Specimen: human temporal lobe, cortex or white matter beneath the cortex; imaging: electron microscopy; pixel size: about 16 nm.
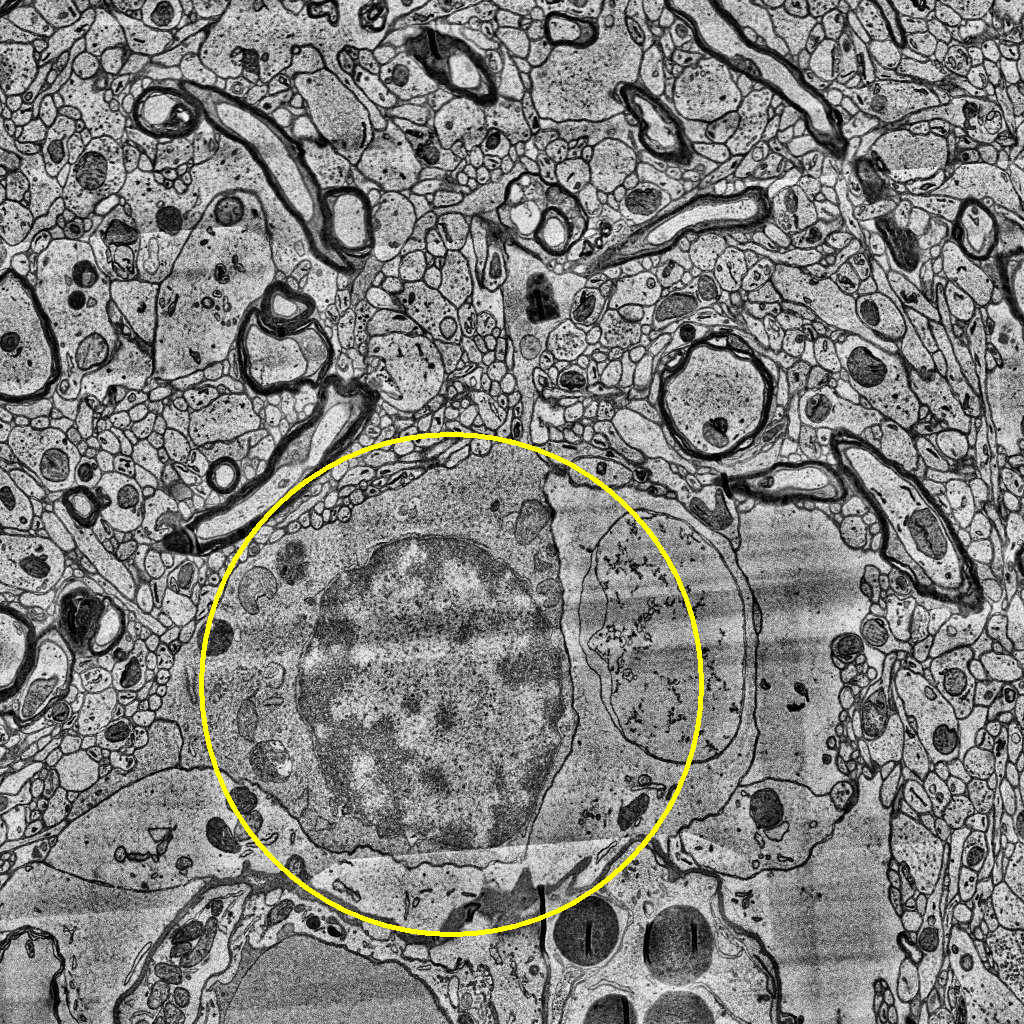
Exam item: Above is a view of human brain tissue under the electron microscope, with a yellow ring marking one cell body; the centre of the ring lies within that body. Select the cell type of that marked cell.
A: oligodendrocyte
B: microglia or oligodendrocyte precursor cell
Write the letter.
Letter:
A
